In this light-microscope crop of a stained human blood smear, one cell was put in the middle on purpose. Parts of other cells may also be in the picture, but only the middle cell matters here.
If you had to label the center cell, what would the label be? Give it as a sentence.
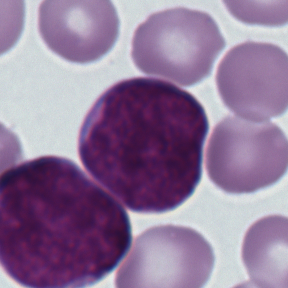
The cell at the middle of the crop is recognized as a blast.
